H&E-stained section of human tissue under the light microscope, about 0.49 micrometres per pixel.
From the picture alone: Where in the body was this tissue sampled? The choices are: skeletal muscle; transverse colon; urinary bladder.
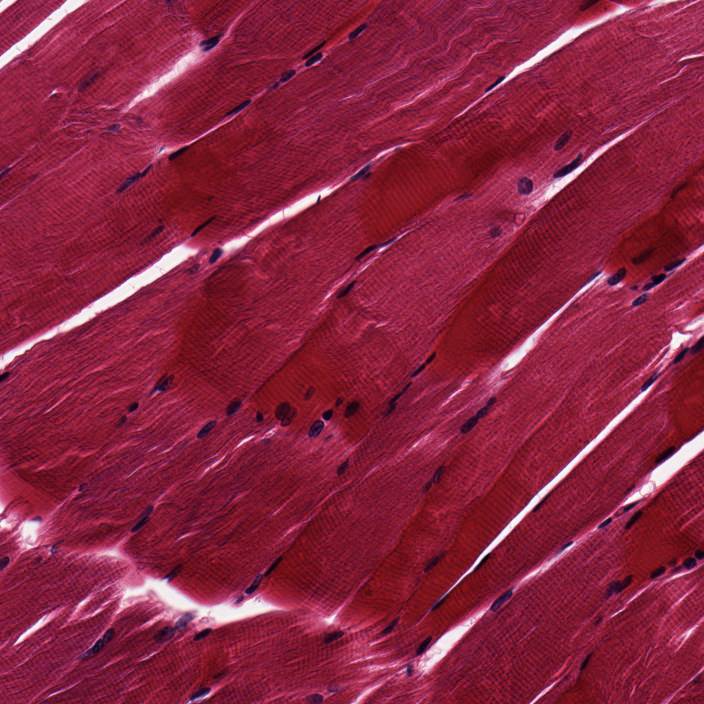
skeletal muscle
